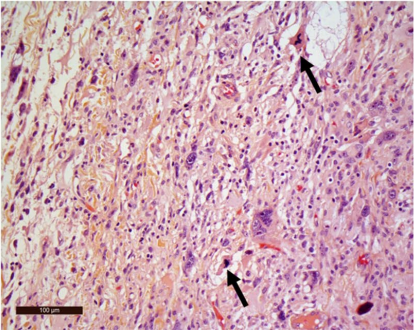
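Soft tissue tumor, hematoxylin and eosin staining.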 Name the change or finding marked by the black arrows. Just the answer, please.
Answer: Atypical mitosis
